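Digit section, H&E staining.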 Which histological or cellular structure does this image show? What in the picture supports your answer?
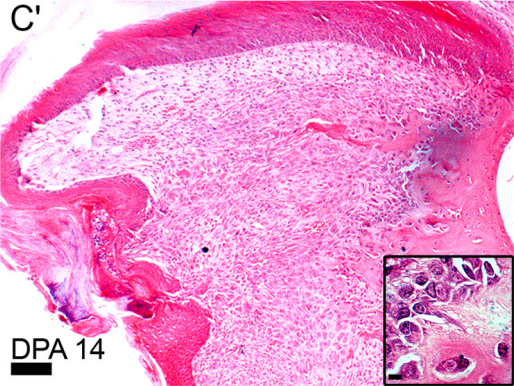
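Blastema. A large mass of densely packed, uniform mesenchymal-like cells fills the digit tip. The cell mass lies beneath a continuous, thick epidermis. No organized bone or marrow fills the tip region.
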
